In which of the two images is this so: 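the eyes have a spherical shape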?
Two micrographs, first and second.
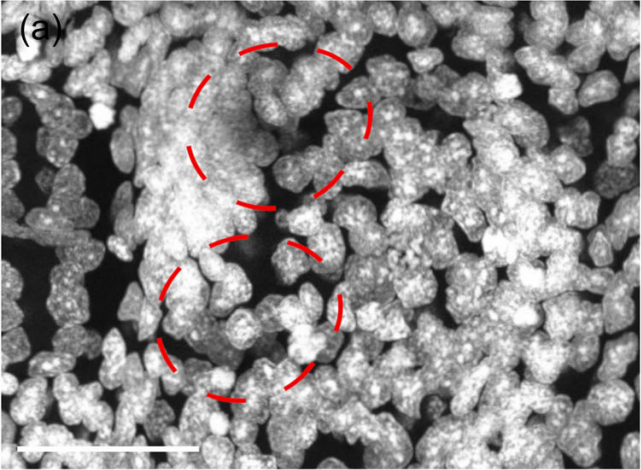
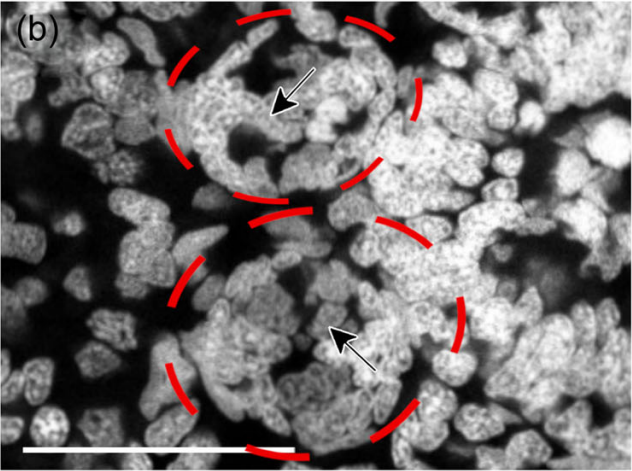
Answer: the second image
